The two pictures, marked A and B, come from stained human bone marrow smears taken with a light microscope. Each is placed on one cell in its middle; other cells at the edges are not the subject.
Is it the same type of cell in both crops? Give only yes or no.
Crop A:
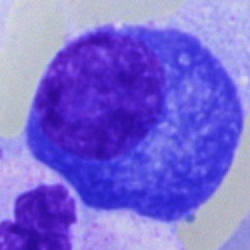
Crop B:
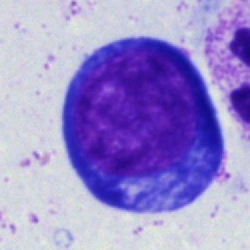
no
